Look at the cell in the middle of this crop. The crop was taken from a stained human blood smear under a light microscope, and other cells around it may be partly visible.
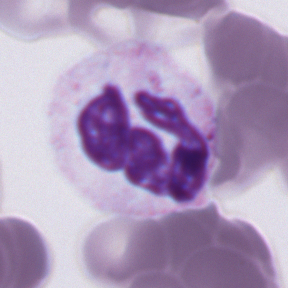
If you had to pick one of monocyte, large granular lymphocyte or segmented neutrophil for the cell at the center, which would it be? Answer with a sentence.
For this crop, the cell in the middle is a segmented neutrophil.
